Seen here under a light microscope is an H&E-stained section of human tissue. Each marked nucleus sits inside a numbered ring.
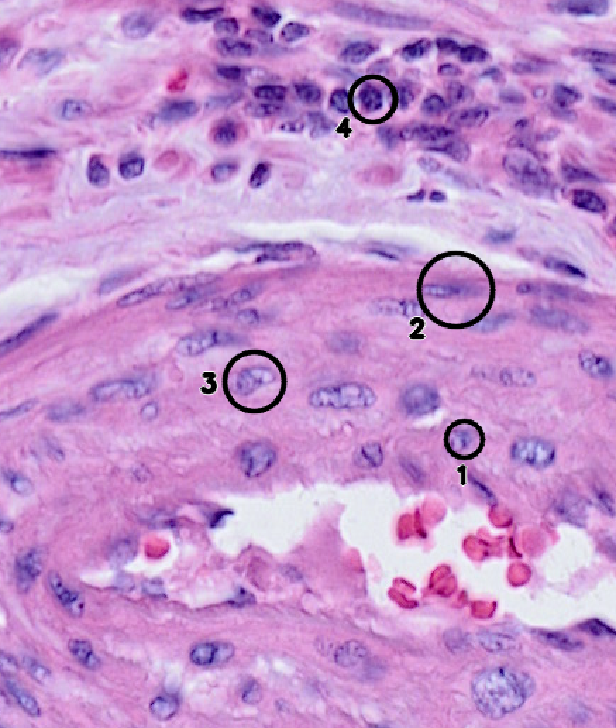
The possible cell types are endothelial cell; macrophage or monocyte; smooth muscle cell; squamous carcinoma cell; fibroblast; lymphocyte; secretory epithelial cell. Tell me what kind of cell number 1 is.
smooth muscle cell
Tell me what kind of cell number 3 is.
smooth muscle cell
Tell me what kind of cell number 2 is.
smooth muscle cell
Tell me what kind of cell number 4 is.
lymphocyte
